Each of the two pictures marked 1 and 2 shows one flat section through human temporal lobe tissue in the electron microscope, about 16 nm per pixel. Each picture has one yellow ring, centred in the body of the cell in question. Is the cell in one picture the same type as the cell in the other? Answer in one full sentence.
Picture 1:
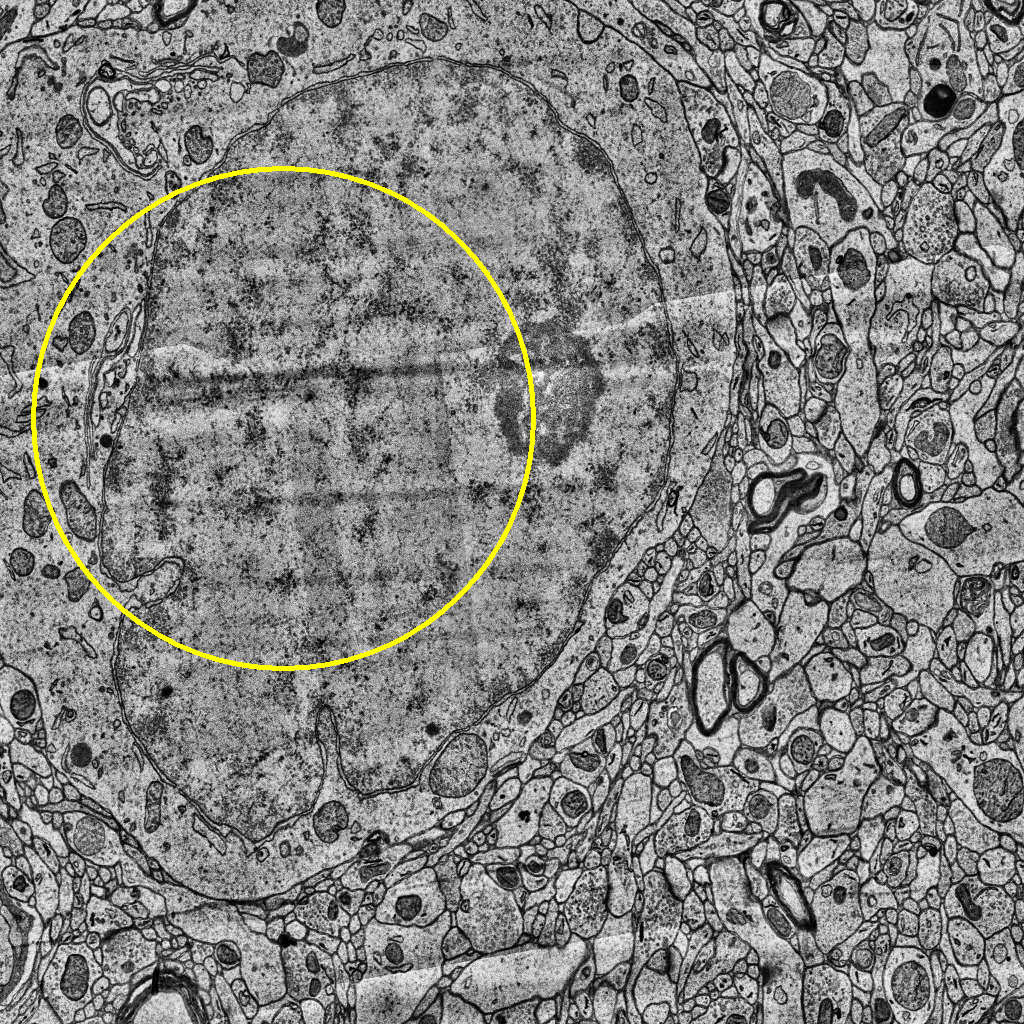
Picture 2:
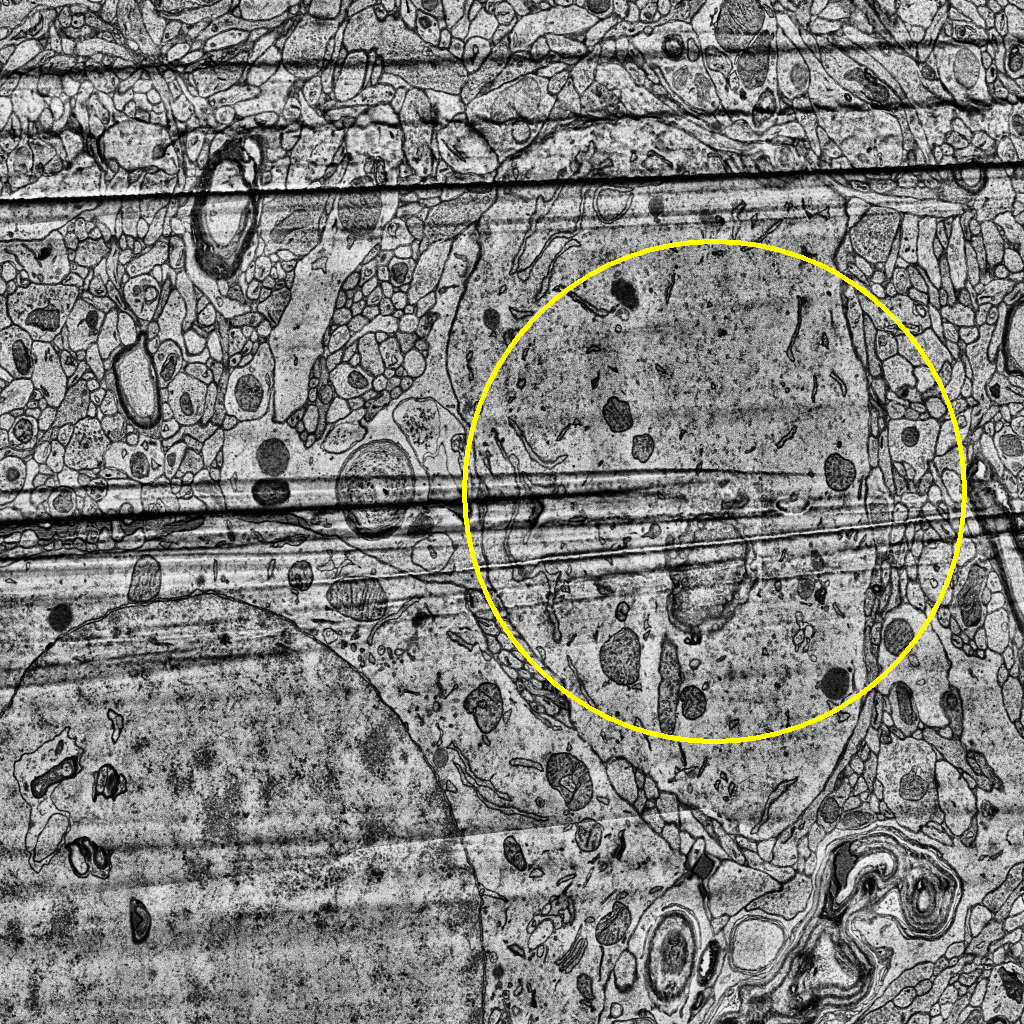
No, the types are not the same, since picture 1 shows an interneuron and picture 2 a pyramidal neuron.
